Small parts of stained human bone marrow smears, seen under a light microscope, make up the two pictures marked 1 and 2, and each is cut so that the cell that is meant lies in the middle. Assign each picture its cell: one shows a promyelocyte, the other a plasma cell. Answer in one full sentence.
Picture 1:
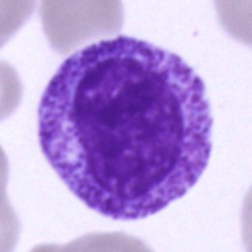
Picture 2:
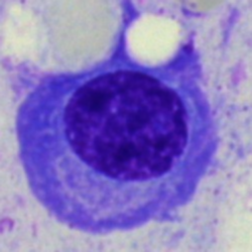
The cell in picture 1 is a promyelocyte, and the one in picture 2 is a plasma cell.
